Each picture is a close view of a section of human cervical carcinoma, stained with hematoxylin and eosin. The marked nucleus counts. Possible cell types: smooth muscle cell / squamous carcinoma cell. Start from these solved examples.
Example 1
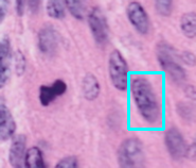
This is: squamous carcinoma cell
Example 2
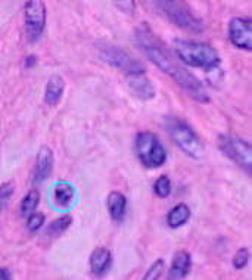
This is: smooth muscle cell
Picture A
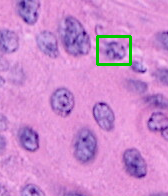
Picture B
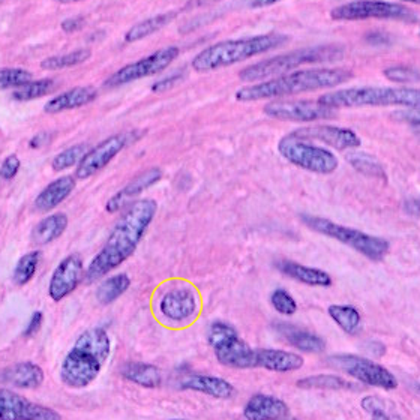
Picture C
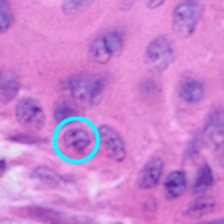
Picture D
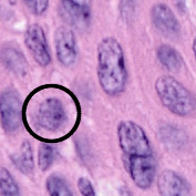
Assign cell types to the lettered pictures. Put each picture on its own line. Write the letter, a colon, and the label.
A: squamous carcinoma cell
B: smooth muscle cell
C: squamous carcinoma cell
D: squamous carcinoma cell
